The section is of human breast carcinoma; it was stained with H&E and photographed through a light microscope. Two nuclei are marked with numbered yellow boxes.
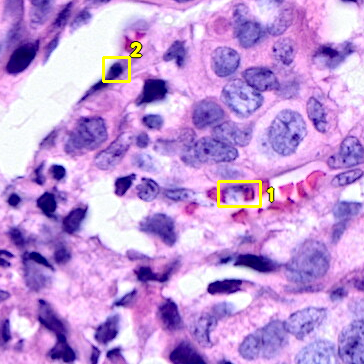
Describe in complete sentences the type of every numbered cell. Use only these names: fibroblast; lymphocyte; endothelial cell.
Cell 1 is an endothelial cell. Cell 2 is a lymphocyte.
